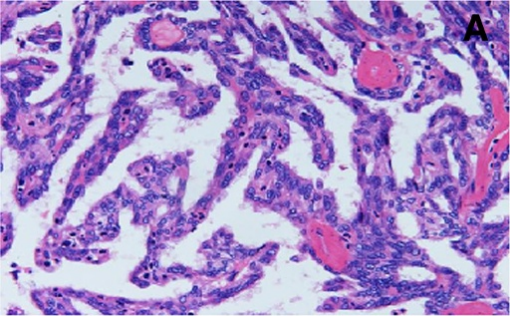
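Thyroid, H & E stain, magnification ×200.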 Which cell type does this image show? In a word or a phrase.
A: Malignant oval to rounded epithelial cells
